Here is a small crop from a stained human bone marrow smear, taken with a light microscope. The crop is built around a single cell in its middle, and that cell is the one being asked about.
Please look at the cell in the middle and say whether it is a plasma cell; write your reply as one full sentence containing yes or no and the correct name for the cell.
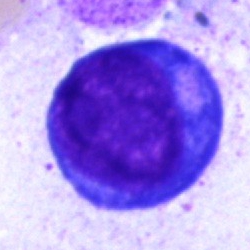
No, the cell at the center of this crop is a proerythroblast instead of a plasma cell.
